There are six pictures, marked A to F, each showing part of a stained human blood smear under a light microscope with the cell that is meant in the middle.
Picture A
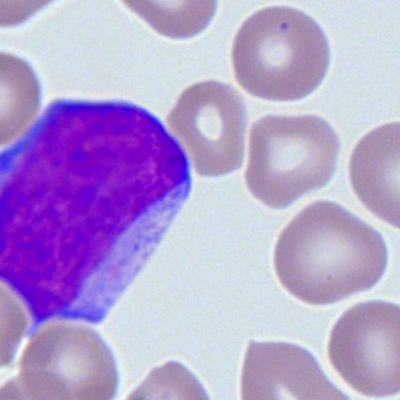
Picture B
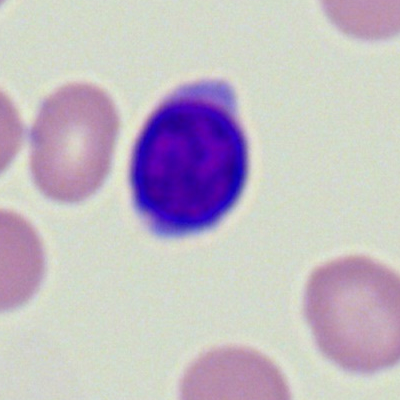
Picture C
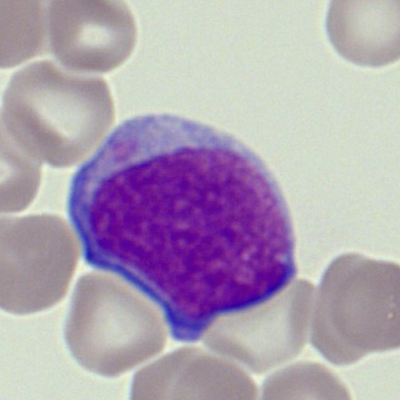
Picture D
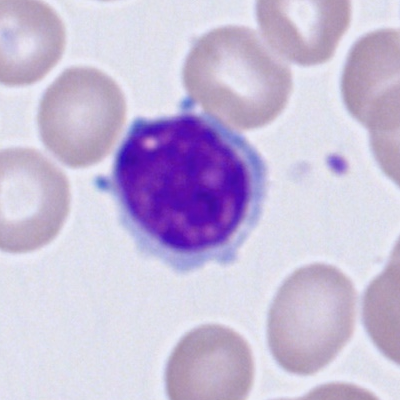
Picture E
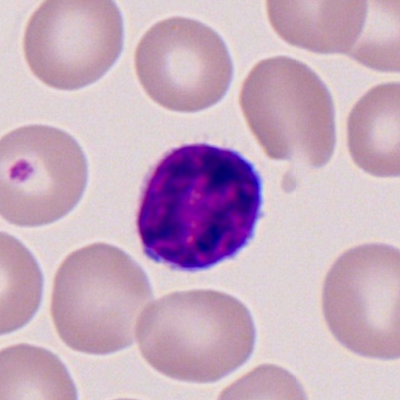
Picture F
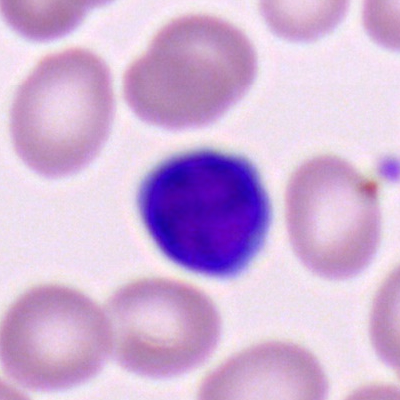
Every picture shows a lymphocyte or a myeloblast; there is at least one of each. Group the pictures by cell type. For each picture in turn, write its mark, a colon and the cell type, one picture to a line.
A: myeloblast
B: lymphocyte
C: myeloblast
D: lymphocyte
E: lymphocyte
F: lymphocyte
